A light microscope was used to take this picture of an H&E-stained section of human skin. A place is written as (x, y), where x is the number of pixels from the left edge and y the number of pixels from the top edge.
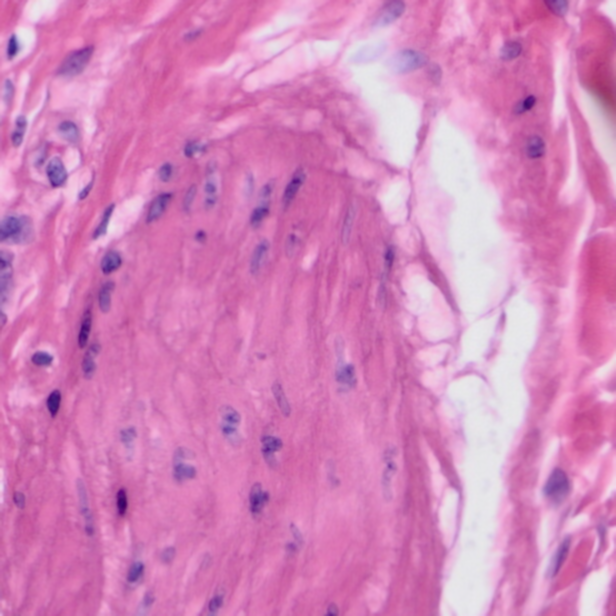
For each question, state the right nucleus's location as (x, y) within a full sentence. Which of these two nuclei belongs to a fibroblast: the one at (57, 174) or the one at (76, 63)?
It is the nucleus at (76, 63), not the other one, that belongs to a fibroblast.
